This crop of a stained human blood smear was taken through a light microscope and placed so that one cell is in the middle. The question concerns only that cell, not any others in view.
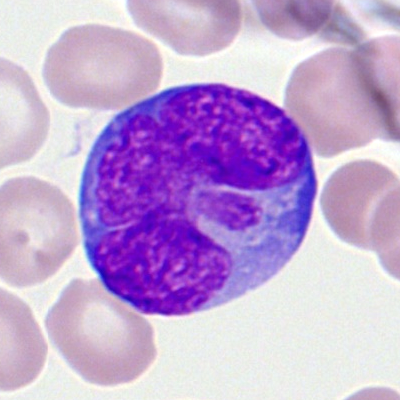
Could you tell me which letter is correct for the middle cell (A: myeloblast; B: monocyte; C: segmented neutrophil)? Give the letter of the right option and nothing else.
A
